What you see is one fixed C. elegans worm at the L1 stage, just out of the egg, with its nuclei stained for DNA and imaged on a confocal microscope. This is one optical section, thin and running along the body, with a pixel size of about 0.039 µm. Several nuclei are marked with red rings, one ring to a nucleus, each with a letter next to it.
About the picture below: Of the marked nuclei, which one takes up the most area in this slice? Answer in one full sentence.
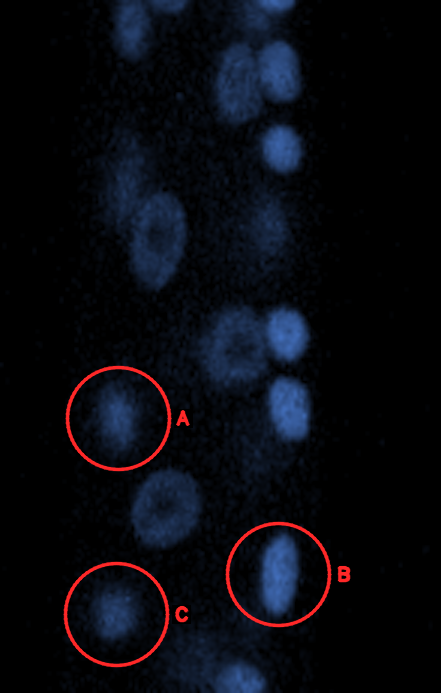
B is the one with the largest cut area.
